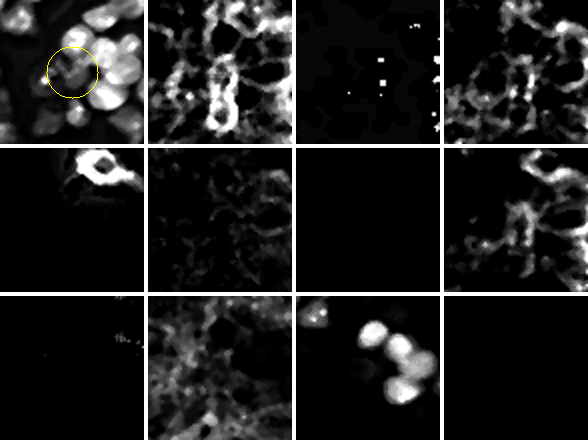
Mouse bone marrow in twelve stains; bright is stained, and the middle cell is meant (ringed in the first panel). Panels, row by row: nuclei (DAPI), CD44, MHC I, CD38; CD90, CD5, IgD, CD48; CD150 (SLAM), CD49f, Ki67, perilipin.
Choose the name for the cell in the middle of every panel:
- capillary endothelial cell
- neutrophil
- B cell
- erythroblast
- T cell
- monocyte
monocyte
